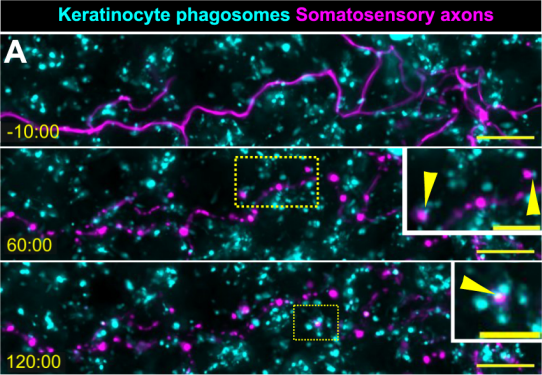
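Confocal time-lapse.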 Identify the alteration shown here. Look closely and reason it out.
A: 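In the top row the magenta fibres are continuous and smooth. In the lower rows the magenta fibres are broken into separate beads and fragments. The answer: axon degeneration.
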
